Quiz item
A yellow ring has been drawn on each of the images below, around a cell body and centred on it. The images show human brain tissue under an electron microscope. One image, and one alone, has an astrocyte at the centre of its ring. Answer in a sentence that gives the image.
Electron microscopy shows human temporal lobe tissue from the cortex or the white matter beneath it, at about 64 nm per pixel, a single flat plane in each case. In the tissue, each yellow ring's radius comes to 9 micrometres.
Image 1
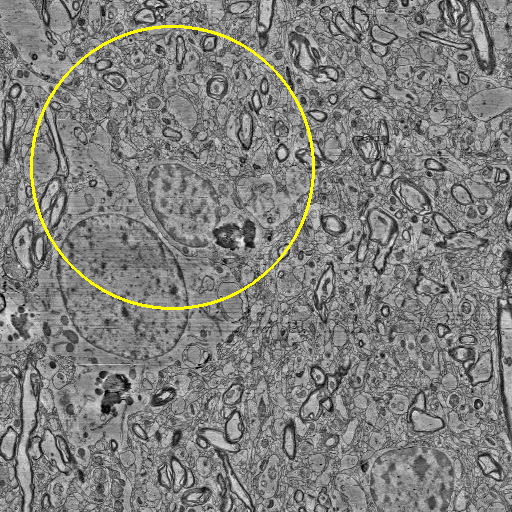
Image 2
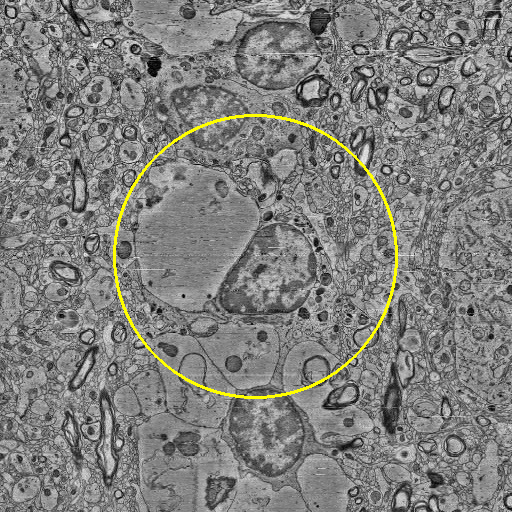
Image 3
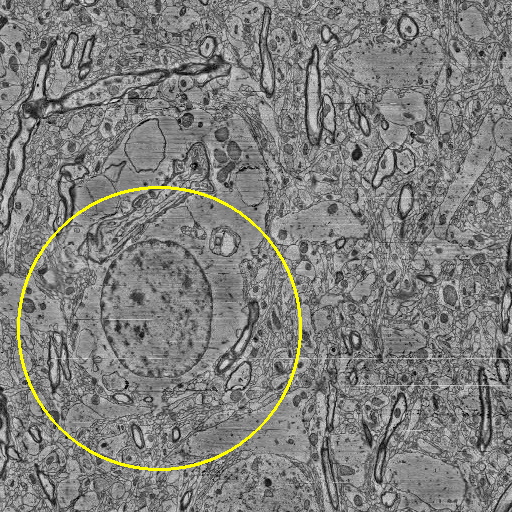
Image 3 shows it at the centre of the ring.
